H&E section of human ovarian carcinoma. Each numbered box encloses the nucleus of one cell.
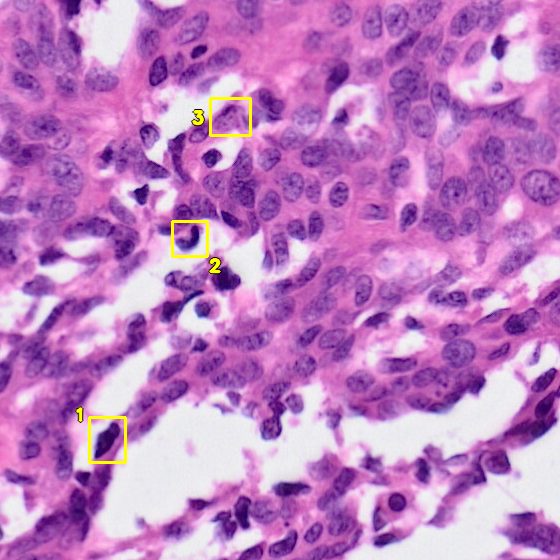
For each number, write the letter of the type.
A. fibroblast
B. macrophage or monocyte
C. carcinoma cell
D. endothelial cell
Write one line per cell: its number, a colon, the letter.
1: C
2: C
3: B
